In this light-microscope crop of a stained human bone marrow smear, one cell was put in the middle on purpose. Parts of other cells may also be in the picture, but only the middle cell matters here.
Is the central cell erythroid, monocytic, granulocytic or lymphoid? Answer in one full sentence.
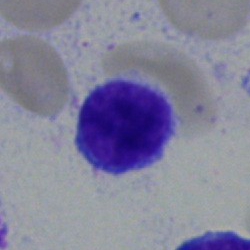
The cell sitting in the middle of this crop is of the lymphoid line.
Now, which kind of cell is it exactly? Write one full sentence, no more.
The cell shown in the center of this light-microscope crop is a lymphocyte.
